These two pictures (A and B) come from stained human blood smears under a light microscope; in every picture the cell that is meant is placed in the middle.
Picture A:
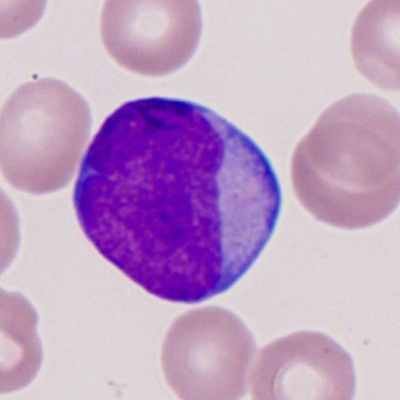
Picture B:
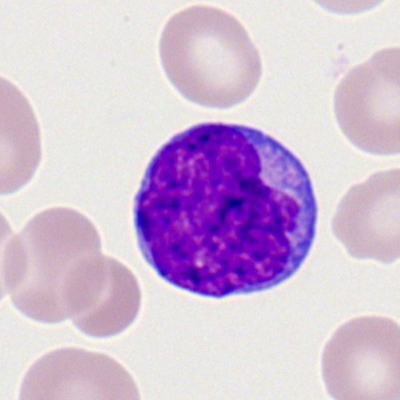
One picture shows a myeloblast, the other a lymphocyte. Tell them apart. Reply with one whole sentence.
In picture A the cell is a myeloblast; in picture B, a lymphocyte.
